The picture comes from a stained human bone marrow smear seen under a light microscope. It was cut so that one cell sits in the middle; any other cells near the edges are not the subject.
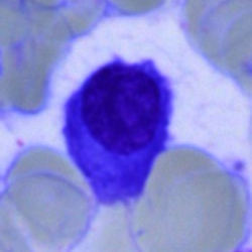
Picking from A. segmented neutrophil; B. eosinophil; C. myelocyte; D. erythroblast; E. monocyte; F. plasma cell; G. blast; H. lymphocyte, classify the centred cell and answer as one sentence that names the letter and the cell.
Option F gives the correct identity of the central cell, namely a plasma cell.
